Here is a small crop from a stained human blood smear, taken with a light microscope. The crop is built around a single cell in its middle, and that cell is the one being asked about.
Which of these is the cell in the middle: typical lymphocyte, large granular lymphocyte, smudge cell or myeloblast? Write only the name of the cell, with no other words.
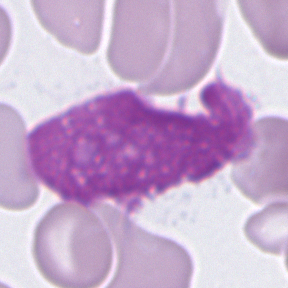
smudge cell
